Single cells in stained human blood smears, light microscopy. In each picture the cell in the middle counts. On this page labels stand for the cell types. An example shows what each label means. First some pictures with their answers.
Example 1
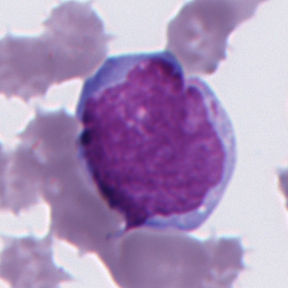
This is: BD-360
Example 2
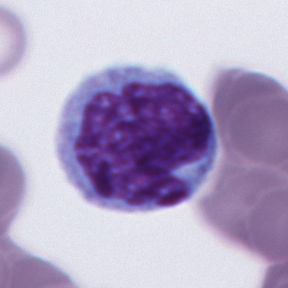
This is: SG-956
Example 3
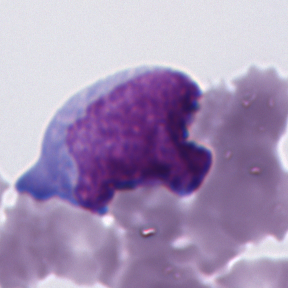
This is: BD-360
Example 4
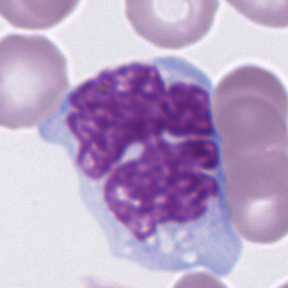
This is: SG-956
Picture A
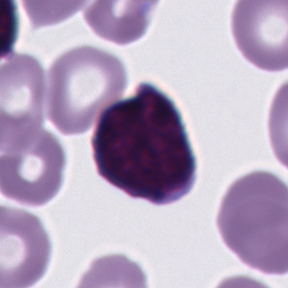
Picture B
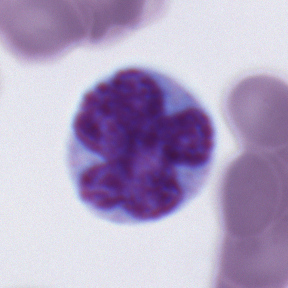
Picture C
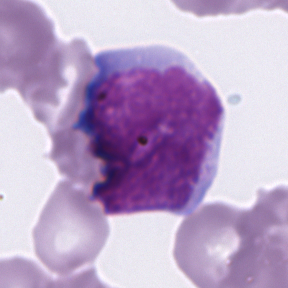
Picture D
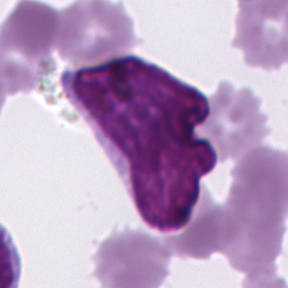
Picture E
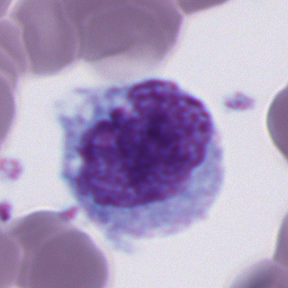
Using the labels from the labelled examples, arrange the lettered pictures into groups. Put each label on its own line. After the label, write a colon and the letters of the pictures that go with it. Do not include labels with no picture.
BD-360: A, C, D
SG-956: B, E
